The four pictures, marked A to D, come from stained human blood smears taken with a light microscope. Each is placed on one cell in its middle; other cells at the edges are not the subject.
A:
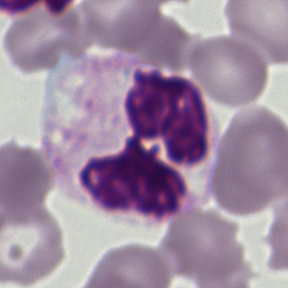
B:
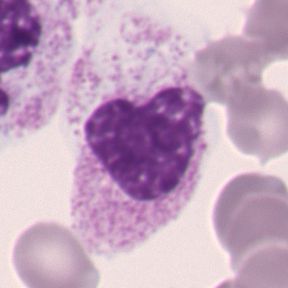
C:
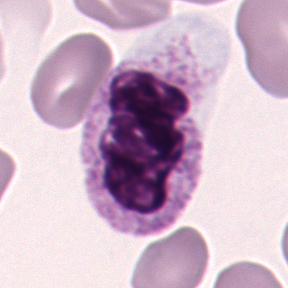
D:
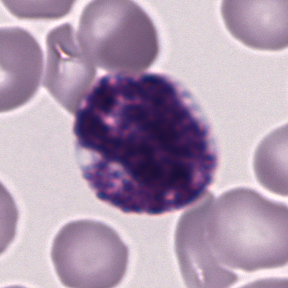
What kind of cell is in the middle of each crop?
A: segmented neutrophil
B: segmented neutrophil
C: segmented neutrophil
D: basophil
